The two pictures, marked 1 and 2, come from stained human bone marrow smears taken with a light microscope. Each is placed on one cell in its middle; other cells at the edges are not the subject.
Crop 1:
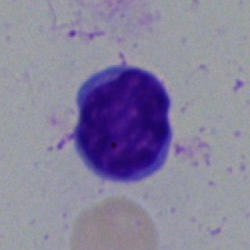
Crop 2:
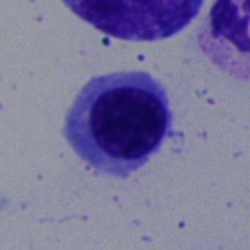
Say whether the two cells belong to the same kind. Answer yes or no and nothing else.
no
